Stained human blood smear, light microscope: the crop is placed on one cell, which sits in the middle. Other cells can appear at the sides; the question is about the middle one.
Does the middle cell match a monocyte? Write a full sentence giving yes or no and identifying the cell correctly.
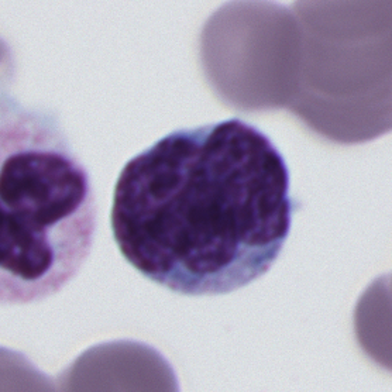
Yes, the cell at the centre of this crop is identified as a monocyte.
